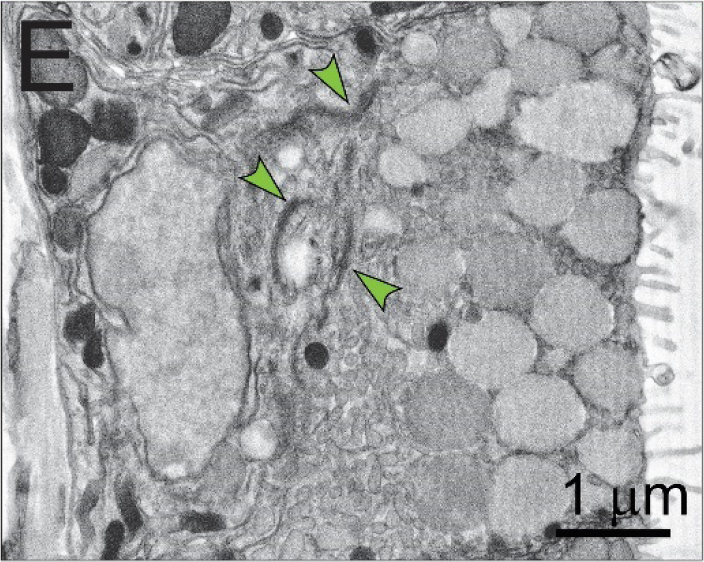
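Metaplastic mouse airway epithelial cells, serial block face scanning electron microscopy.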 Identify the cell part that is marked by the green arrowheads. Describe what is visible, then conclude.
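The arrowheads point at thin, flattened, curved membrane stacks. Round pale granules lie around them. On this evidence: Golgi cisternae.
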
